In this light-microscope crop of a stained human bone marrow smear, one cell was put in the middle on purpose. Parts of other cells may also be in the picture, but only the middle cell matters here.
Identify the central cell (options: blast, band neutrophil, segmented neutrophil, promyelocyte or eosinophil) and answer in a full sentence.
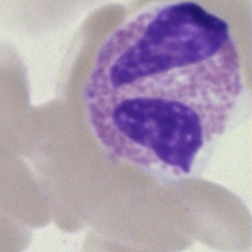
Regarding the central cell, it is an eosinophil.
